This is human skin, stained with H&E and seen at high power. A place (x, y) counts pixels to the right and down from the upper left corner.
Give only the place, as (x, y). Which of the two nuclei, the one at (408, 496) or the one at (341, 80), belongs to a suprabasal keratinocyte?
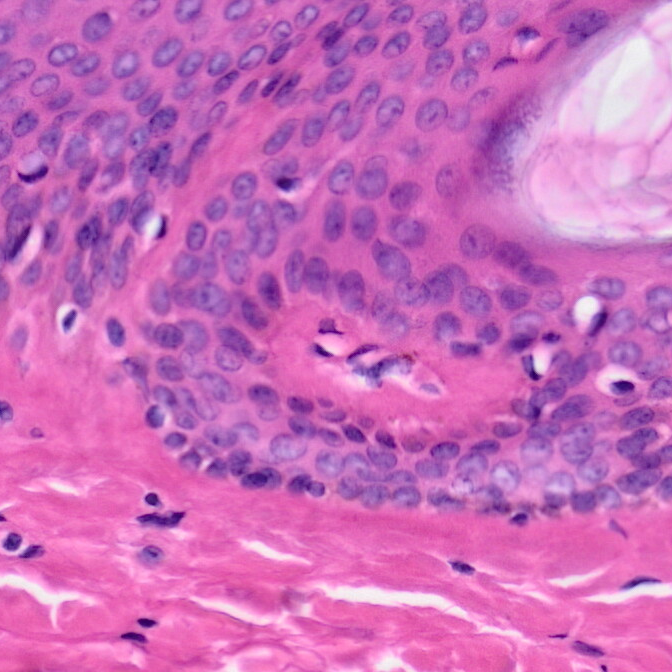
(341, 80)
